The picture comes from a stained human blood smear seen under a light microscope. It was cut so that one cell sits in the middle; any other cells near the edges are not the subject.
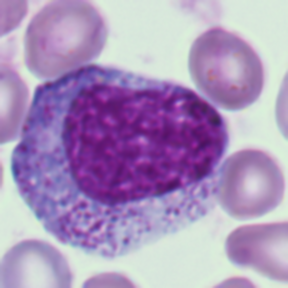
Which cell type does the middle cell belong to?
promyelocyte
